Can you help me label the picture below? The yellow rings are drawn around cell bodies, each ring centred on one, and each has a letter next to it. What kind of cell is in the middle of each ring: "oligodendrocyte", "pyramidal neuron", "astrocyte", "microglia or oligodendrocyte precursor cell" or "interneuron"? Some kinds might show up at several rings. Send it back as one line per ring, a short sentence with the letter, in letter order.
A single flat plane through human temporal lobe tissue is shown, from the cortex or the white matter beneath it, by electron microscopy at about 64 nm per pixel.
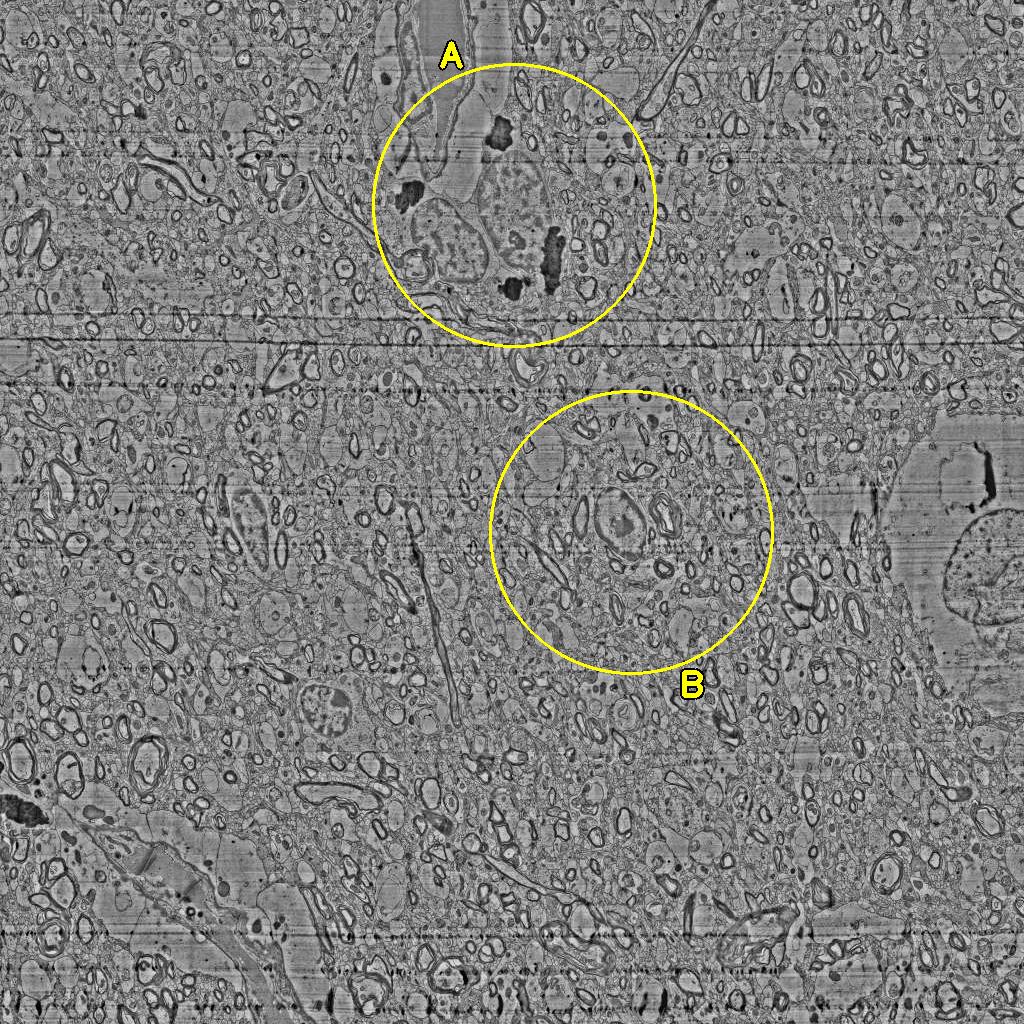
Ring A has an oligodendrocyte in the middle.
Ring B has a microglial cell or oligodendrocyte precursor cell in the middle.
